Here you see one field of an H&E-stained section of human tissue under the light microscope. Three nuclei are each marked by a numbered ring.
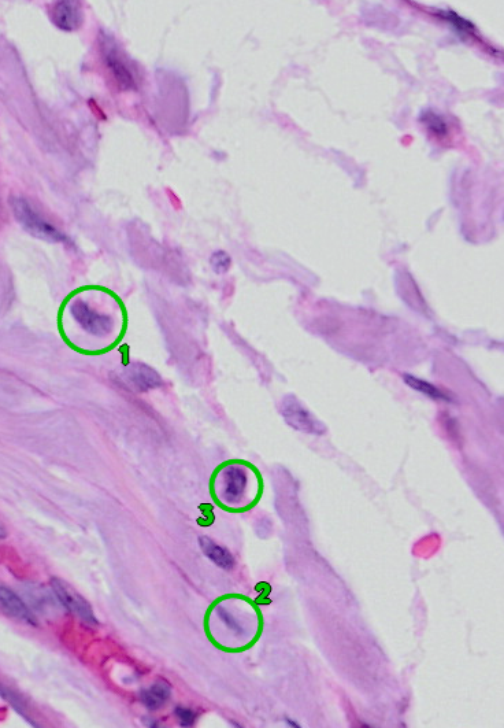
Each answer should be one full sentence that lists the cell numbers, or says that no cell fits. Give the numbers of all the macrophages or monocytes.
Cells 1 and 3 are recognised here as macrophages or monocytes.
